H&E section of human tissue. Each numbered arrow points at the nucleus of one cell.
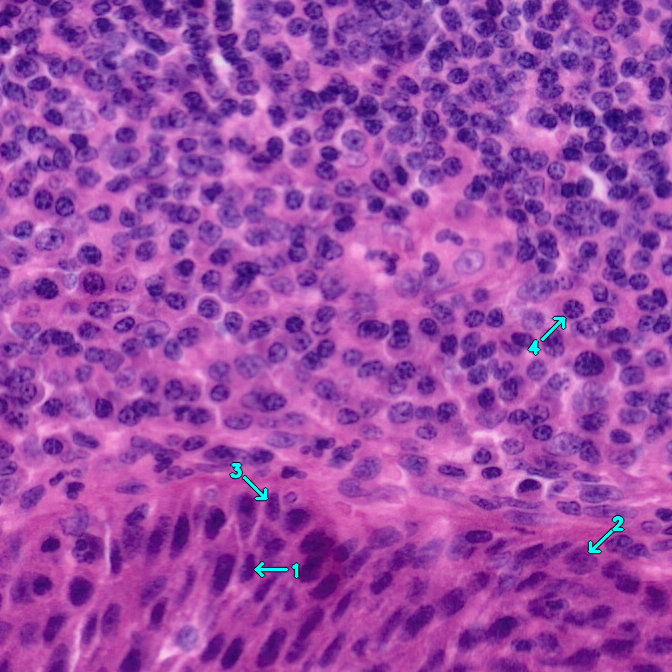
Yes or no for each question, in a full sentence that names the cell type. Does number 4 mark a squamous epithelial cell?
No, number 4 identifies a plasma cell, not a squamous epithelial cell.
